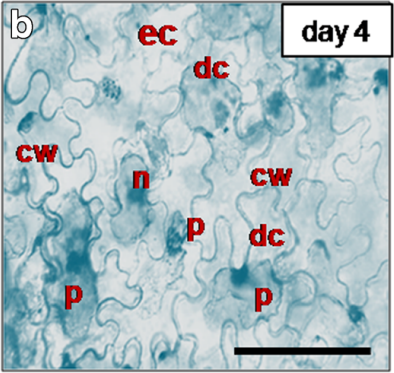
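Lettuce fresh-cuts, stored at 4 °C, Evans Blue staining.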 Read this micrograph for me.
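Leaf epidermis of jigsaw-shaped cells whose wavy walls are outlined in blue. Several cells hold a darkly blue, shrunken protoplast pulled away from the wall, some with a dense nucleus, while neighbouring cells look pale and empty.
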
